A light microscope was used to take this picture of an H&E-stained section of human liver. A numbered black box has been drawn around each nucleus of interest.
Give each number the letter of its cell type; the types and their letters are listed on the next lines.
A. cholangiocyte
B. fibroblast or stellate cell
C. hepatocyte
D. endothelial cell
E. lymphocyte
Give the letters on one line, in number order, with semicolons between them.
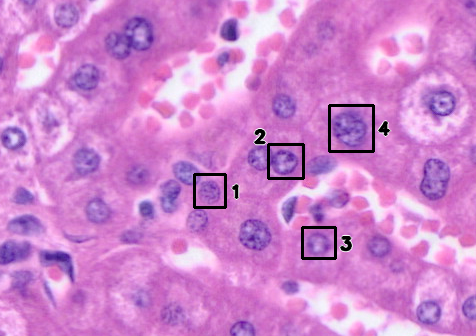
A; C; C; C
